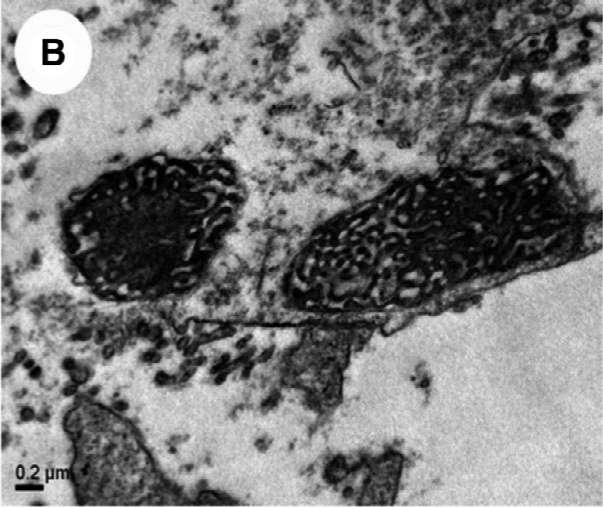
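The internal membranes form convoluted, looping profiles, partly regular and partly compacted into darker areas. The surrounding cytoplasm is pale and finely granular, with scattered small dense particles and vesicles.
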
